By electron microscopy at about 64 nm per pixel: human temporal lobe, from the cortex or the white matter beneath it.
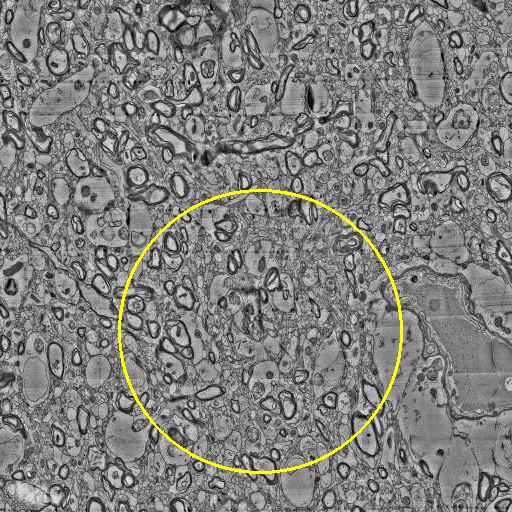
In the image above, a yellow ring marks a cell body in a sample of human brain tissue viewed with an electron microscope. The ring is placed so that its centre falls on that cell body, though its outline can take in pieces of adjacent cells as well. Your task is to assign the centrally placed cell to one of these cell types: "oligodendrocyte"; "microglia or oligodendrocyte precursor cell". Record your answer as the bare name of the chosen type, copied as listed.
microglia or oligodendrocyte precursor cell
